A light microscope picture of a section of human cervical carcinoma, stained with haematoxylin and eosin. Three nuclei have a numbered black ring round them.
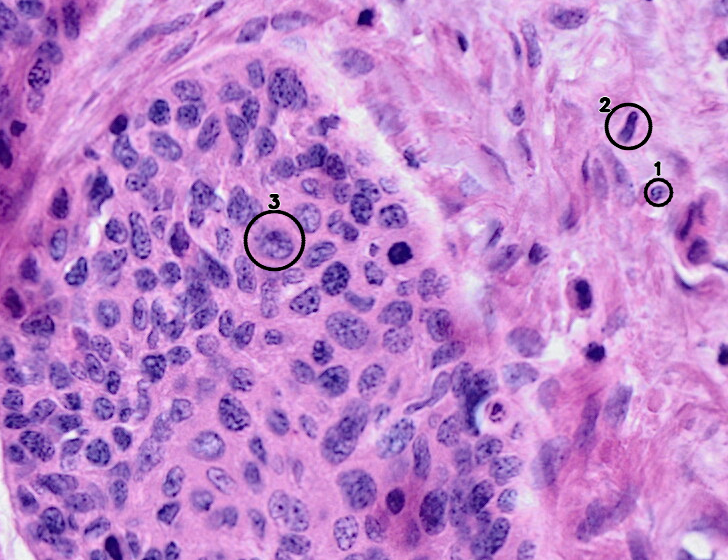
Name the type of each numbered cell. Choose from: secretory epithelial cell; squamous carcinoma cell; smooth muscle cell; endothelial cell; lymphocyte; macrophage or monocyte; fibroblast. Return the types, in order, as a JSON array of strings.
["lymphocyte", "lymphocyte", "squamous carcinoma cell"]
